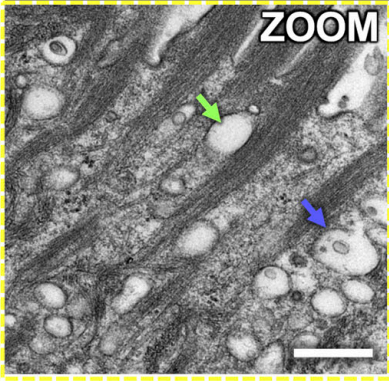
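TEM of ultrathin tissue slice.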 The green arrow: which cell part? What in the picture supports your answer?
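The green arrow points to a round, pale, empty-looking membrane-bound body. It lies beside a dense filament bundle.
Hence: electron-lucent vesicle.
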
